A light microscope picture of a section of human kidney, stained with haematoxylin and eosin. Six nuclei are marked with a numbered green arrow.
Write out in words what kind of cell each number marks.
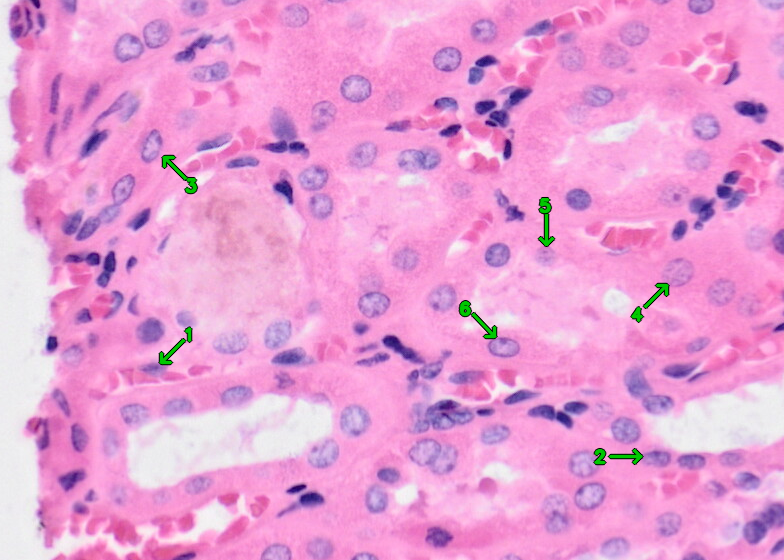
Cell 1 is an endothelial cell. Cell 2 is a loop of Henle or distal tubule cell. Cells 3, 4, 5 and 6 are proximal tubule cells.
